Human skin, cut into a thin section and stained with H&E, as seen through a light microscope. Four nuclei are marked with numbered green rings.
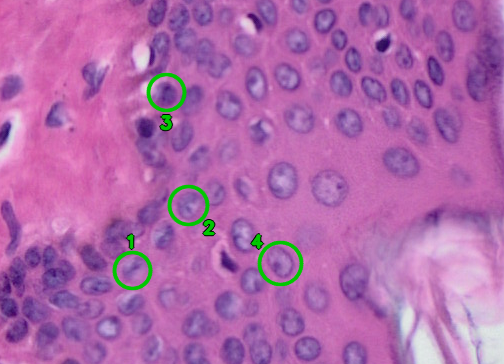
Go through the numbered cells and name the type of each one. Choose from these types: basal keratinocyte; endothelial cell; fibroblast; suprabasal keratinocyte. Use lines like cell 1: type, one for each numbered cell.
cell 1: suprabasal keratinocyte
cell 2: suprabasal keratinocyte
cell 3: basal keratinocyte
cell 4: suprabasal keratinocyte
